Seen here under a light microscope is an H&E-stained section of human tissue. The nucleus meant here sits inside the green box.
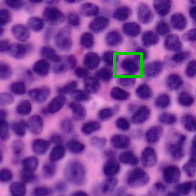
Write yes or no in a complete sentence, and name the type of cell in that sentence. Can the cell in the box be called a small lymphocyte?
Yes, put very simply, the cell in the box is a small lymphocyte.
